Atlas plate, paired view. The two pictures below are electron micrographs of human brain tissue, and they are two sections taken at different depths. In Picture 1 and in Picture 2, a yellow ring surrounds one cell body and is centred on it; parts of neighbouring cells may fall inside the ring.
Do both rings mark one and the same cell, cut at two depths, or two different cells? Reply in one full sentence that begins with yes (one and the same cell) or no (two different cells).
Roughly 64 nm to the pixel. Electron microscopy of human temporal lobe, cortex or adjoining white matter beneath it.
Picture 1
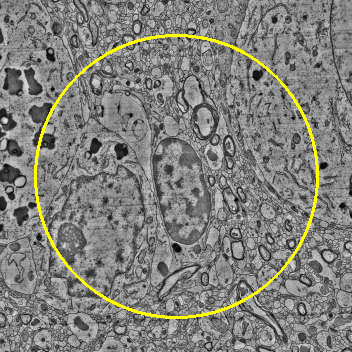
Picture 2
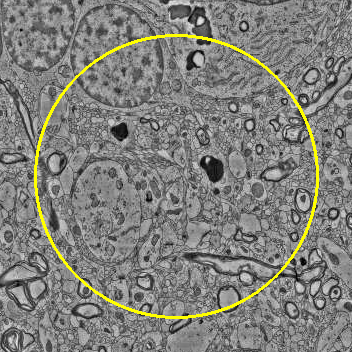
No, the yellow rings mark two separate cells, not one.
